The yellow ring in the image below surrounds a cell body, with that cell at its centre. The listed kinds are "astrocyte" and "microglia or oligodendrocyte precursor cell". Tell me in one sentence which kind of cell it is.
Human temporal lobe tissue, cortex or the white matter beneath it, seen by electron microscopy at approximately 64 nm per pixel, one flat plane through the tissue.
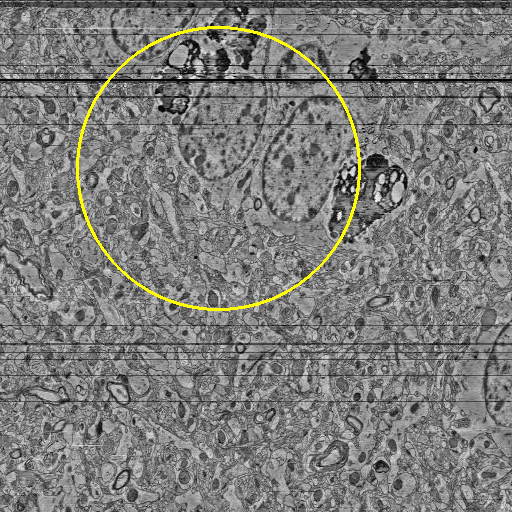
The centre of the ring holds an astrocyte.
